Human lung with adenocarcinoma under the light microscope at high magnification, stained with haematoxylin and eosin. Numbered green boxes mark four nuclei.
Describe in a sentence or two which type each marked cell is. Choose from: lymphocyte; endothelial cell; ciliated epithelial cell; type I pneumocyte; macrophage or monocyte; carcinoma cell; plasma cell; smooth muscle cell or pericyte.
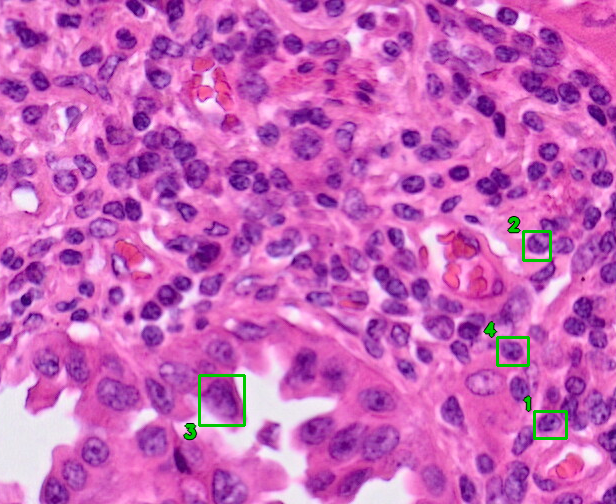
Cell 1 is a lymphocyte, cell 2 is a lymphocyte, cell 3 is a carcinoma cell and cell 4 is a lymphocyte.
